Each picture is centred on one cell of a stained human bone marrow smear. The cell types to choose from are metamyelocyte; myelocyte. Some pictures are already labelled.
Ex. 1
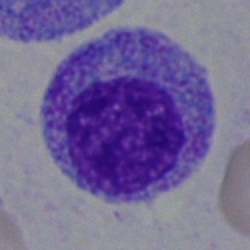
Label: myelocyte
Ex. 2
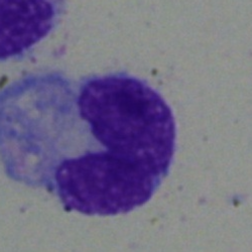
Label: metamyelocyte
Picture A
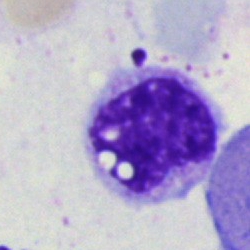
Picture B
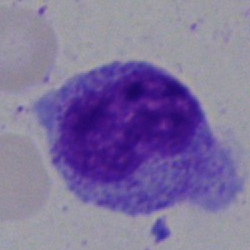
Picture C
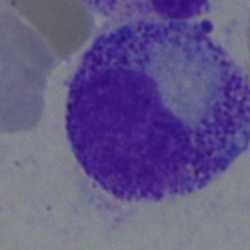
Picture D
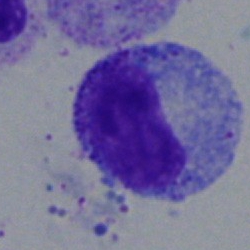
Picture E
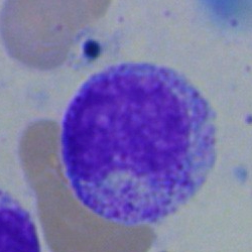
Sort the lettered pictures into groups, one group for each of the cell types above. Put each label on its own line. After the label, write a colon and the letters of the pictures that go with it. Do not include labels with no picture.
metamyelocyte: A, B, D
myelocyte: C, E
